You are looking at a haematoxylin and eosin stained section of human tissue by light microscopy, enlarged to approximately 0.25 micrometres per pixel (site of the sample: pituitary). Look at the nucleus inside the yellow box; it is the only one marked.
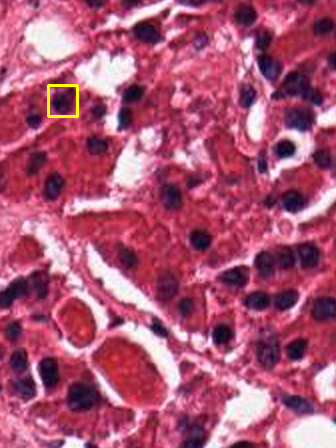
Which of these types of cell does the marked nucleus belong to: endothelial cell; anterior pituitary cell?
anterior pituitary cell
